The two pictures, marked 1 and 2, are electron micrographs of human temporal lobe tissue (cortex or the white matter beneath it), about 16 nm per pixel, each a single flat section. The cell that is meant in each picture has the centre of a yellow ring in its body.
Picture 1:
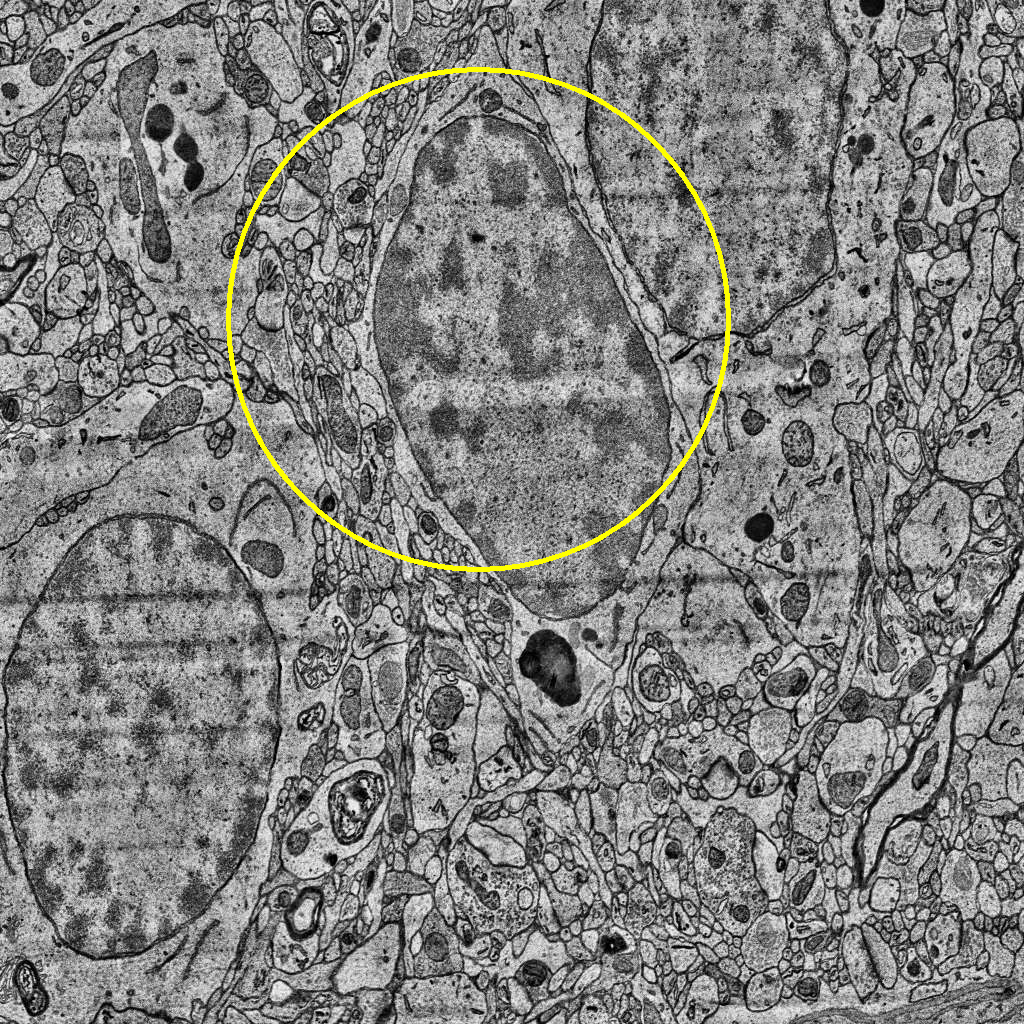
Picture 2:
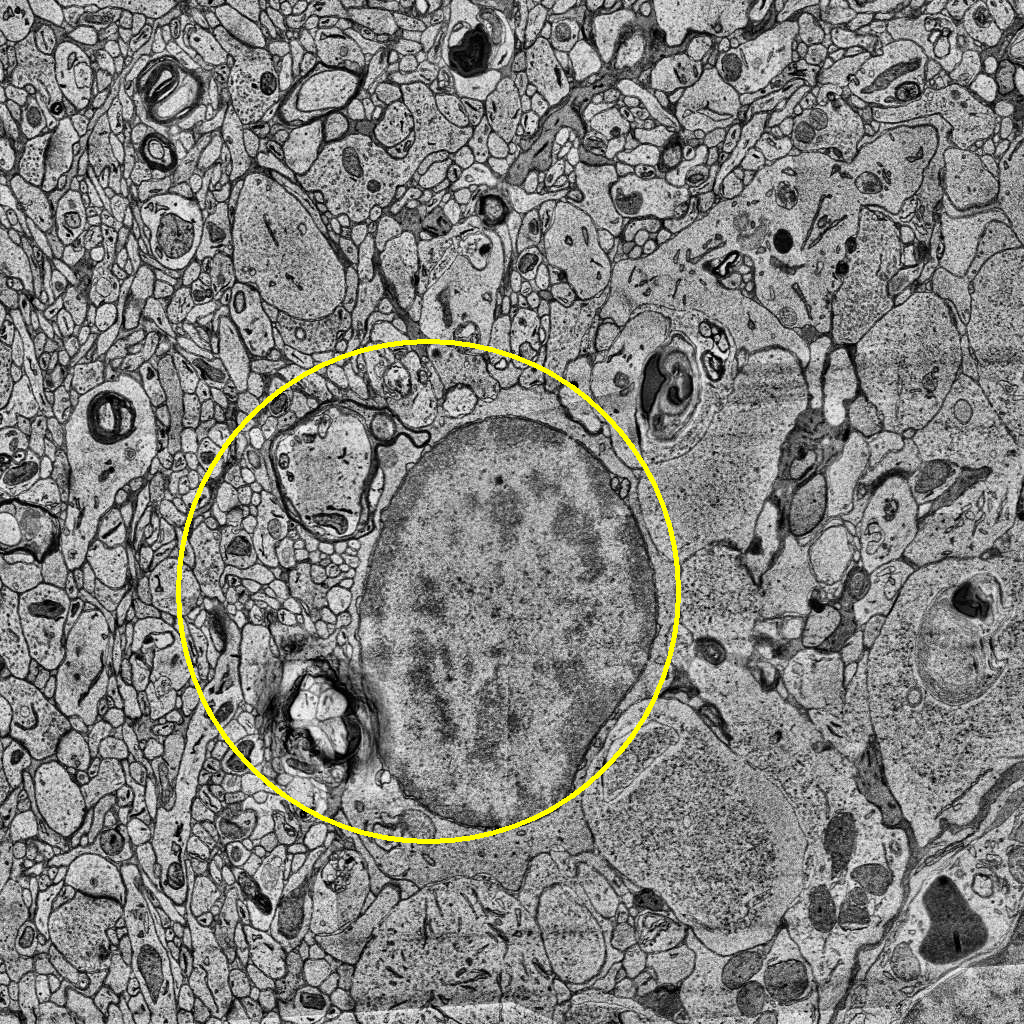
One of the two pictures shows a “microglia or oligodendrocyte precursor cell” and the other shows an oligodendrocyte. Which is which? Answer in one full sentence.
It is picture 1 that shows a “microglia or oligodendrocyte precursor cell”, and picture 2 that shows an oligodendrocyte.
